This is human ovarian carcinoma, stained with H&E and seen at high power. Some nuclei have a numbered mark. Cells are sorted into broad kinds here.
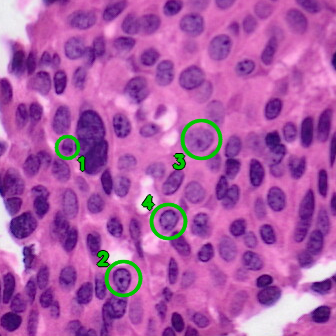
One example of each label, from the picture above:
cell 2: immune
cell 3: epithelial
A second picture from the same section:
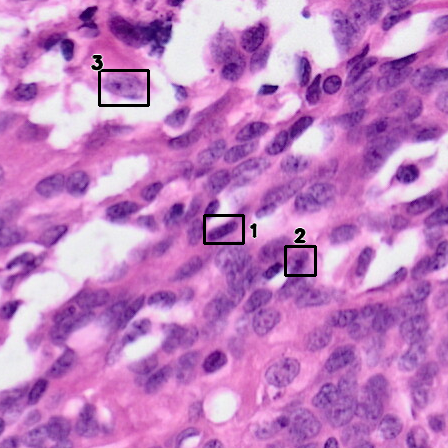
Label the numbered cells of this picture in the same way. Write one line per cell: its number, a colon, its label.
1: epithelial
2: epithelial
3: immune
